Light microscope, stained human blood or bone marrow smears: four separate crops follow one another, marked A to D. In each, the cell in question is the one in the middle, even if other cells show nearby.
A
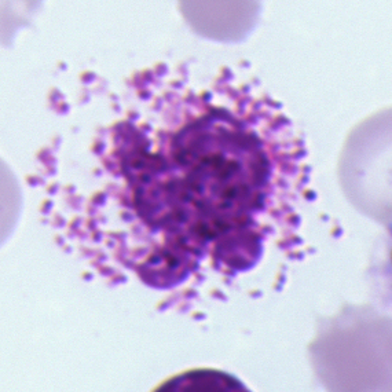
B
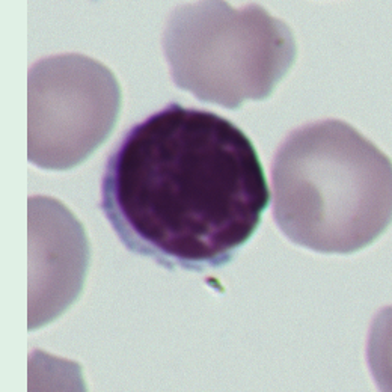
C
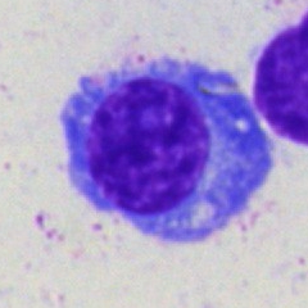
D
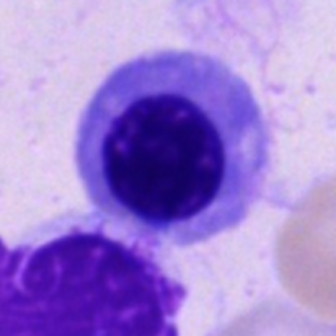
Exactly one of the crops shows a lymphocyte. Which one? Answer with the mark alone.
B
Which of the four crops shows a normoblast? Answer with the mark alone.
D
